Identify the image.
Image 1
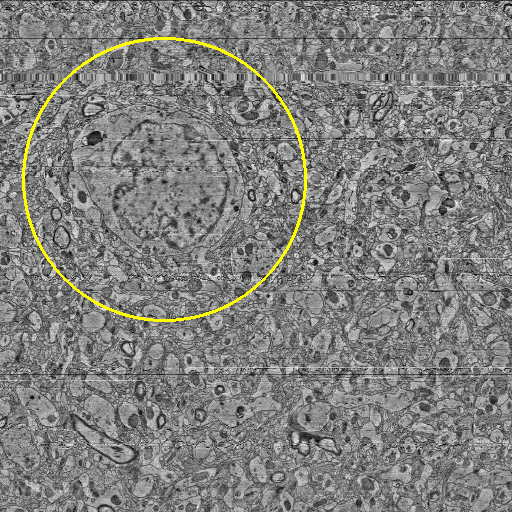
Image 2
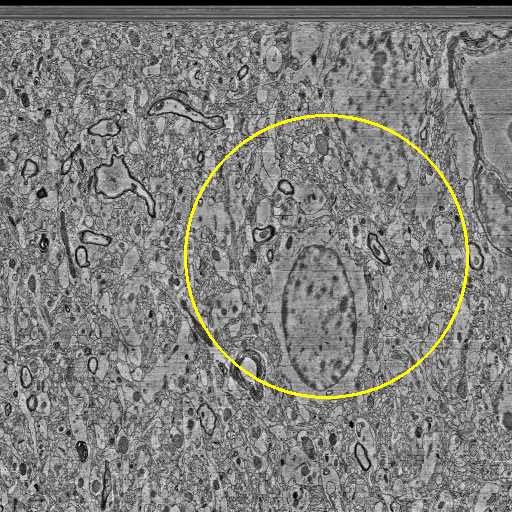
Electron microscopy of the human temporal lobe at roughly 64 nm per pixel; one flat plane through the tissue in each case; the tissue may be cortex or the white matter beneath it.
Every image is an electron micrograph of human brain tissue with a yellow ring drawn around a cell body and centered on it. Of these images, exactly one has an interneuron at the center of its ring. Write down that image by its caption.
Image 1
